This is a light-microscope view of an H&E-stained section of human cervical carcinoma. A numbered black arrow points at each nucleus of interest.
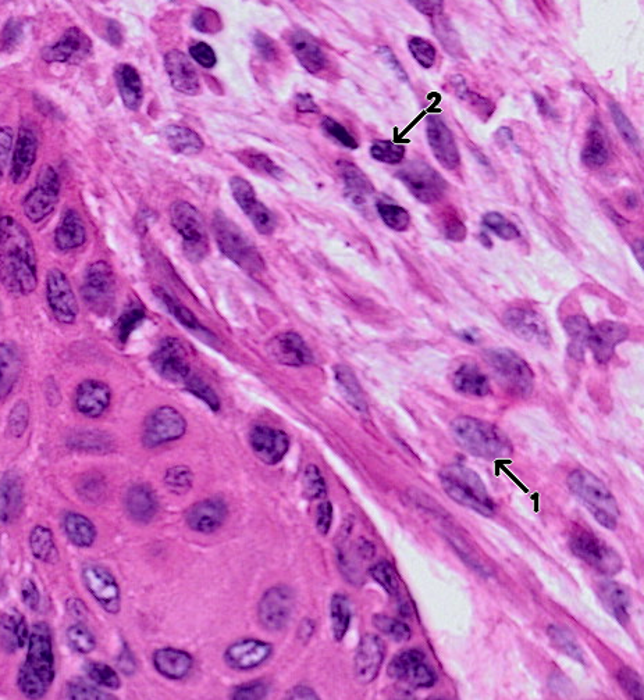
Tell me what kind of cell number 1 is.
fibroblast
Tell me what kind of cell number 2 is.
lymphocyte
